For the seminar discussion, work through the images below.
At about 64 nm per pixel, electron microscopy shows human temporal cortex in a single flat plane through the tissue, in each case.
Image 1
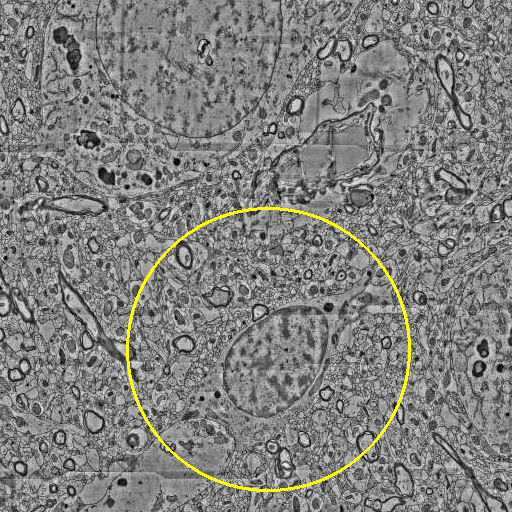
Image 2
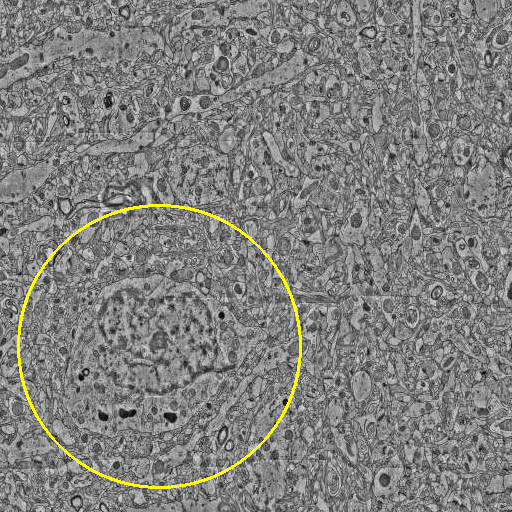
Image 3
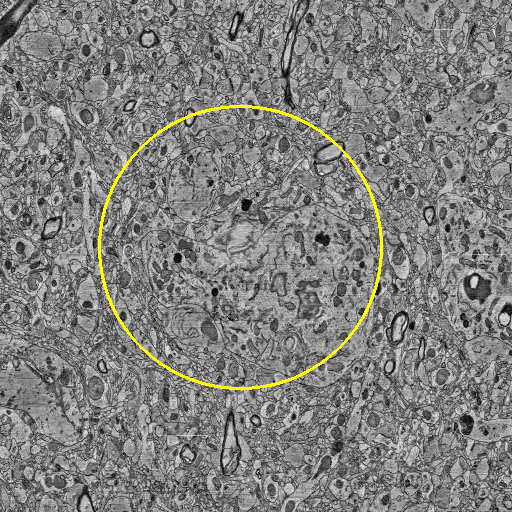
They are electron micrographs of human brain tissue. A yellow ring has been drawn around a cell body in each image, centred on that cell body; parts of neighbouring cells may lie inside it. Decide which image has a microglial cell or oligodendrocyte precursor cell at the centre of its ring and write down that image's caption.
Image 3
